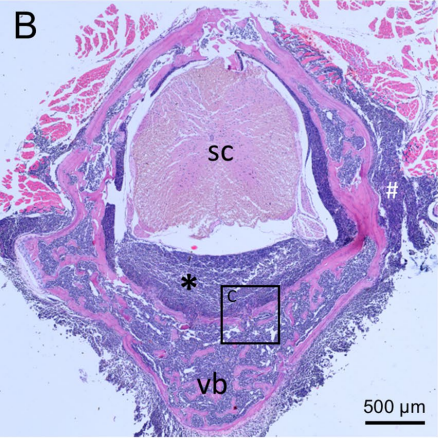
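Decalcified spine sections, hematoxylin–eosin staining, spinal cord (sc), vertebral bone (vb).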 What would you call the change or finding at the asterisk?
Cellular infiltrates.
